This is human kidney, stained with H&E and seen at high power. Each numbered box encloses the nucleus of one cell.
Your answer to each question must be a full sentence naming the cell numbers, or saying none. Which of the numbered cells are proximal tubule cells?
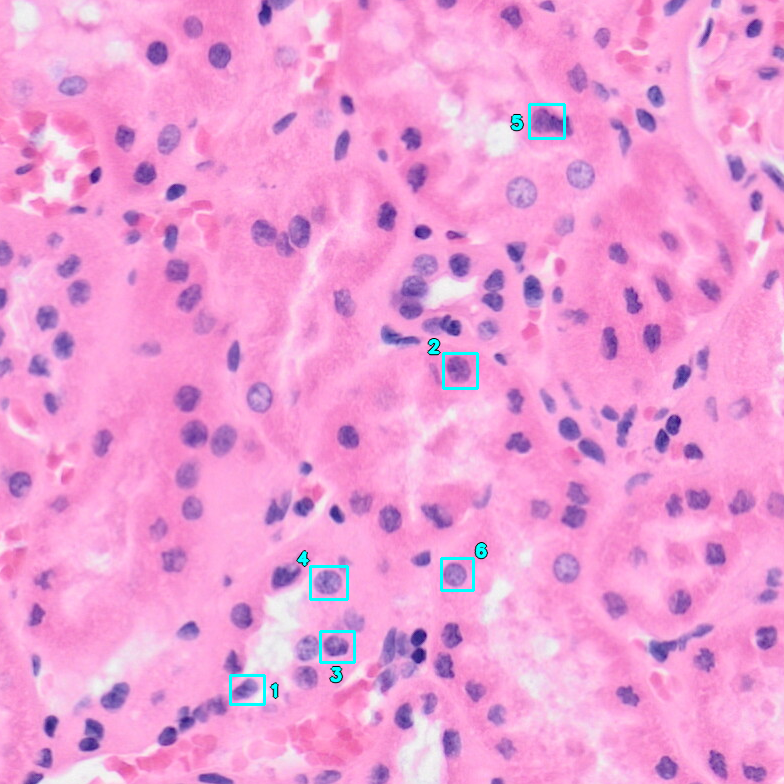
The cells numbered 2, 5 and 6 fall into the category of proximal tubule cells.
